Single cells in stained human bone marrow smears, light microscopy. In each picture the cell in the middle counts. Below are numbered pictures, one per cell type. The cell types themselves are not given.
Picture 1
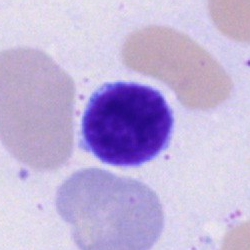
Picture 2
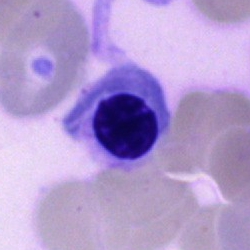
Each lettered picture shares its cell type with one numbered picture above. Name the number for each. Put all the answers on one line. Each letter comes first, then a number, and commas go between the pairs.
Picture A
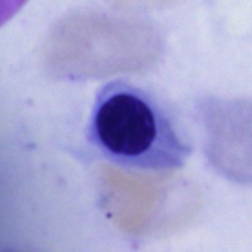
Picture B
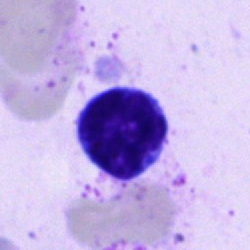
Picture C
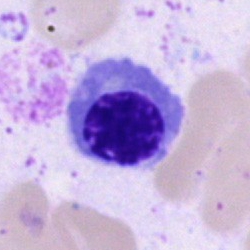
A 2, B 1, C 2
